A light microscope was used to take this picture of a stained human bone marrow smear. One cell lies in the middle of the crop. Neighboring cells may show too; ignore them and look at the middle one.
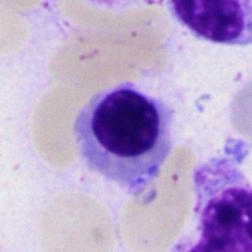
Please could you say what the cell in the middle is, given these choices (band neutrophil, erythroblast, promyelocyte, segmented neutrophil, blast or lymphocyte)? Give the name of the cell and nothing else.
erythroblast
